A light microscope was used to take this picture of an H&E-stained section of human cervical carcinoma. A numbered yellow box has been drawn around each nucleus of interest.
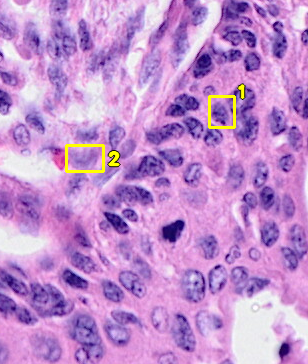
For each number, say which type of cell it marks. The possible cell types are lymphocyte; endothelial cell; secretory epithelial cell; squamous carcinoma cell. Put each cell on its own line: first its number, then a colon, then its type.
1: squamous carcinoma cell
2: endothelial cell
